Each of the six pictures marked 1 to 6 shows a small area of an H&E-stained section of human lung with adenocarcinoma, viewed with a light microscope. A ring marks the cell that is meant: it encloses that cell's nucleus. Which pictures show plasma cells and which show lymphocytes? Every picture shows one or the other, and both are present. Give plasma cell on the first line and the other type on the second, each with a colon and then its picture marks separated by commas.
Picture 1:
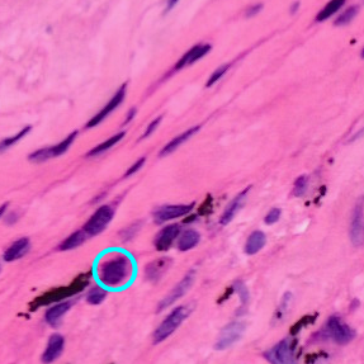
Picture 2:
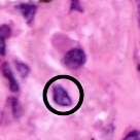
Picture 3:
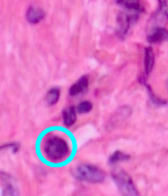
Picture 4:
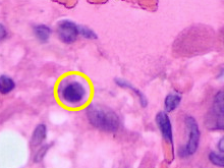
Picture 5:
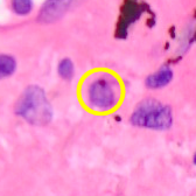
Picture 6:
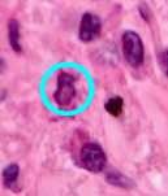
plasma cell: 1, 3, 5, 6
lymphocyte: 2, 4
